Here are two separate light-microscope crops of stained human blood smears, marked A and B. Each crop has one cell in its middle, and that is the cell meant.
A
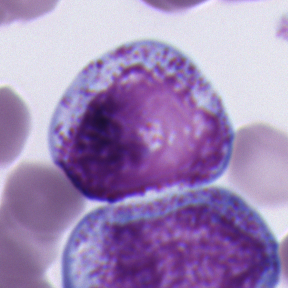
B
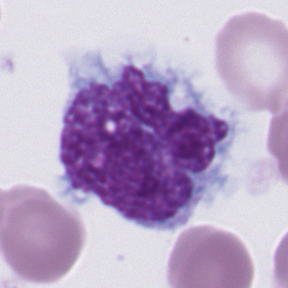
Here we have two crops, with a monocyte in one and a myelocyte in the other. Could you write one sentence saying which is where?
Here crop A is a myelocyte, and crop B is a monocyte.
